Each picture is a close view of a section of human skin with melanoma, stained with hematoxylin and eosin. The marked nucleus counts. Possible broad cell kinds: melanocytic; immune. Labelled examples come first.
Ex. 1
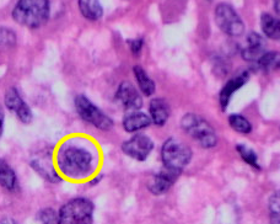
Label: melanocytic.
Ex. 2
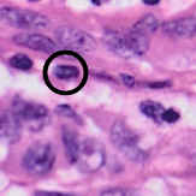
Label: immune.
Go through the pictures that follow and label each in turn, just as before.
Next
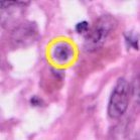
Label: immune.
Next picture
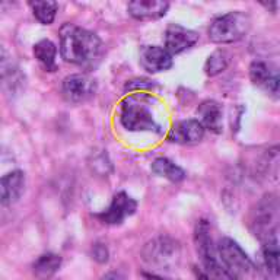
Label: melanocytic.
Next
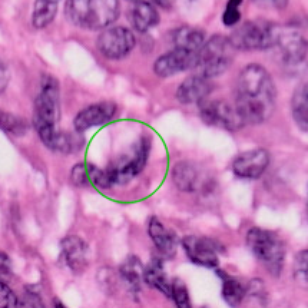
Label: melanocytic.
